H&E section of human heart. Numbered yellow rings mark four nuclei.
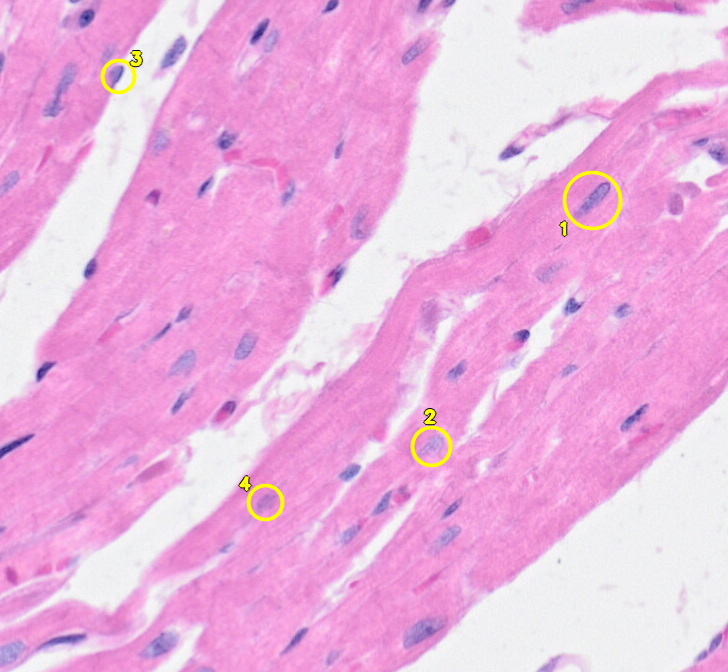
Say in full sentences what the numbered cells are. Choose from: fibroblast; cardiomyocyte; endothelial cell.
Cells 1, 2 and 4 are cardiomyocytes. Cell 3 is a fibroblast.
